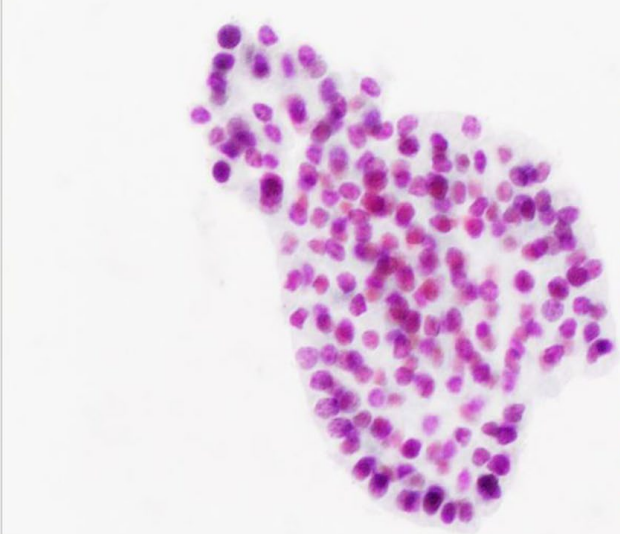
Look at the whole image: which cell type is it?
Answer: Follicular cells.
